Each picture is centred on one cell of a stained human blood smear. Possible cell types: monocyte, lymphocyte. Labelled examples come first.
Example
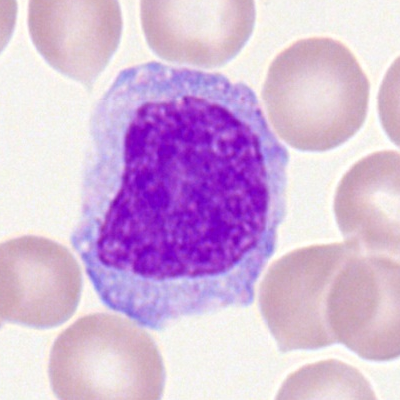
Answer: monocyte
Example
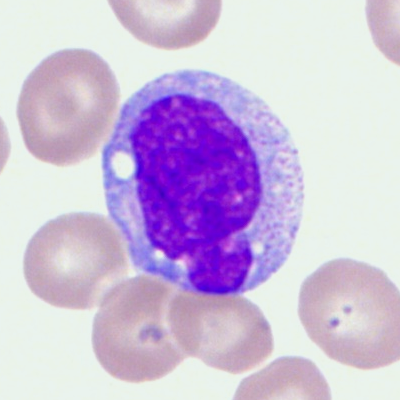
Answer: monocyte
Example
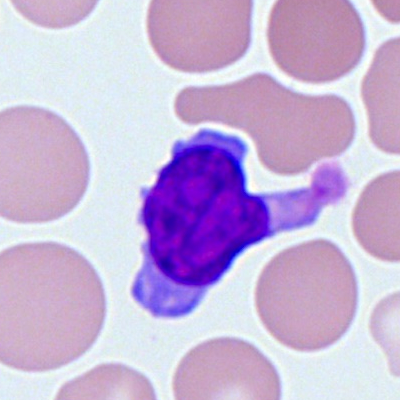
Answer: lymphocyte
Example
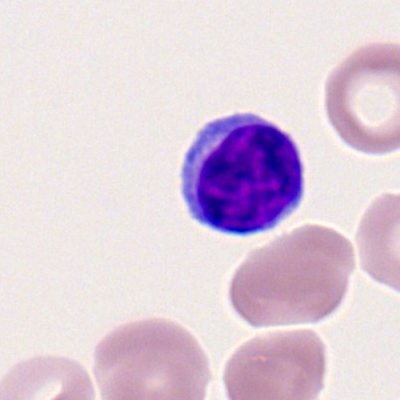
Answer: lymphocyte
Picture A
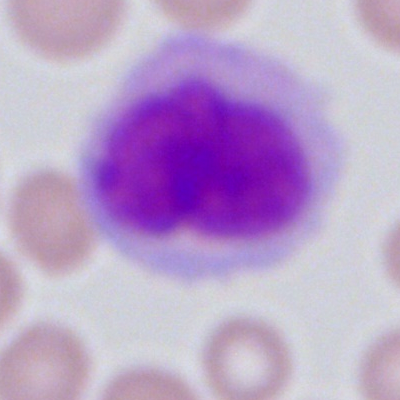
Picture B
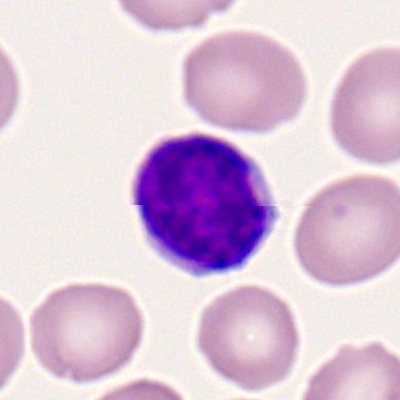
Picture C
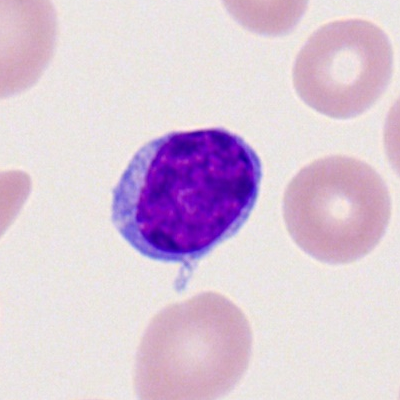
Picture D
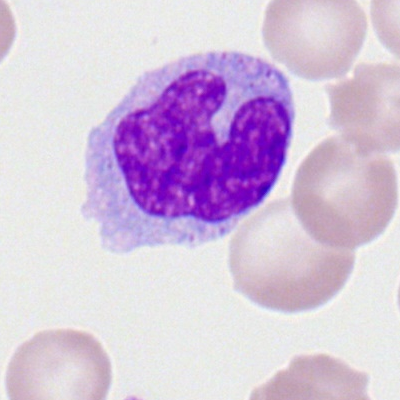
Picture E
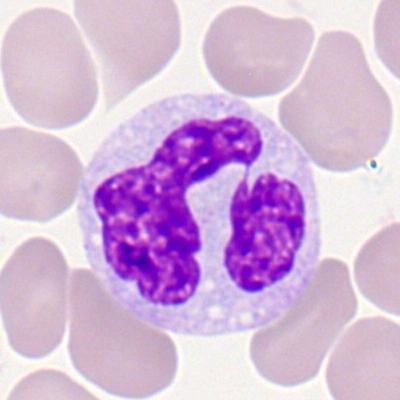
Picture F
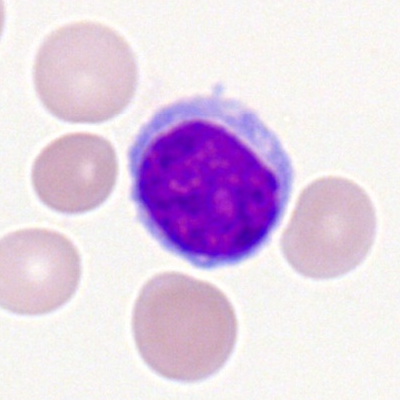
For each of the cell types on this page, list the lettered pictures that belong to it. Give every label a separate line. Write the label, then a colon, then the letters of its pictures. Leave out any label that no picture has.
monocyte: A, D, E
lymphocyte: B, C, F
